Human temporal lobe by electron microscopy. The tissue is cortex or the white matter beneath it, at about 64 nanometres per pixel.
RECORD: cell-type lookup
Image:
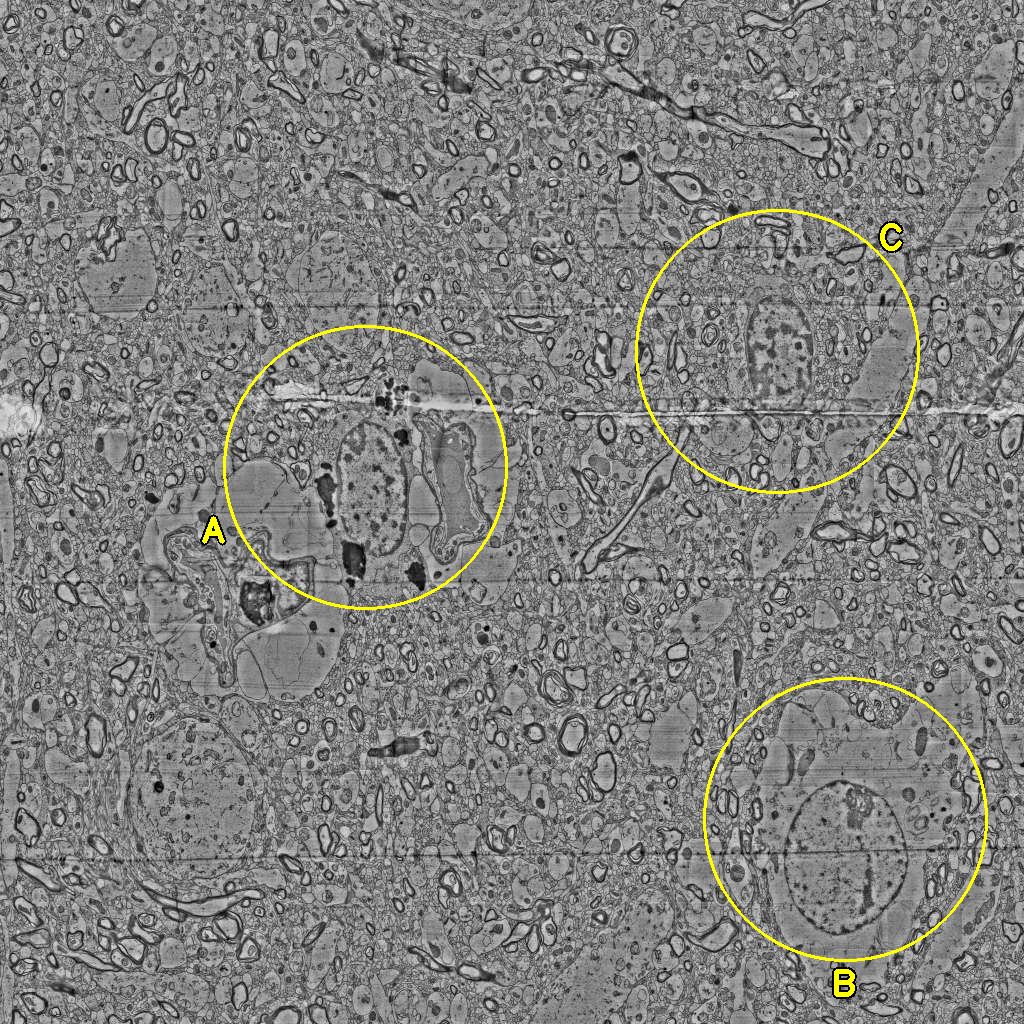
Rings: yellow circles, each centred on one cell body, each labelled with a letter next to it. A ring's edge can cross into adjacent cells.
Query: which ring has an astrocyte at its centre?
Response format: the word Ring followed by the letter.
Ring B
